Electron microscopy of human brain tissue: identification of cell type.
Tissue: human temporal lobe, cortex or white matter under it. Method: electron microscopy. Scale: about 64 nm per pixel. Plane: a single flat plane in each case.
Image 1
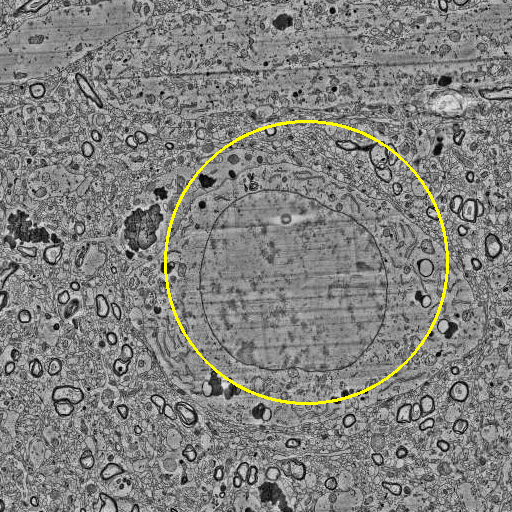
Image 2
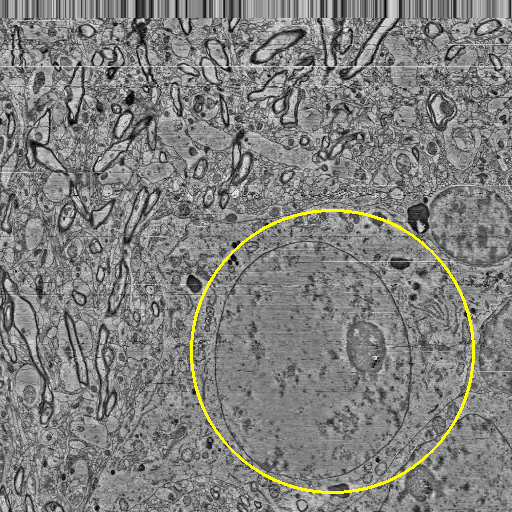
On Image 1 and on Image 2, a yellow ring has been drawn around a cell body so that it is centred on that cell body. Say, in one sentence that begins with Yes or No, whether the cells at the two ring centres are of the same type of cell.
Yes, both cells are the same type of cell.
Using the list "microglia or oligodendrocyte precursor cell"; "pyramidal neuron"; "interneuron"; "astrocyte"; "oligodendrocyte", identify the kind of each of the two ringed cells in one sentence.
Each of the two rings is centred on a pyramidal neuron.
